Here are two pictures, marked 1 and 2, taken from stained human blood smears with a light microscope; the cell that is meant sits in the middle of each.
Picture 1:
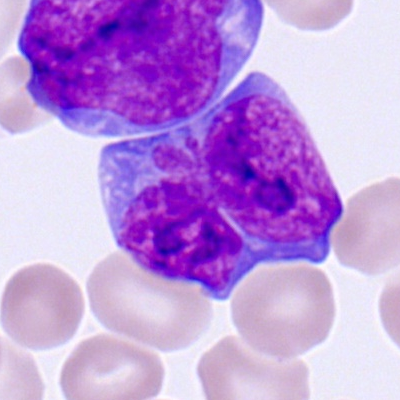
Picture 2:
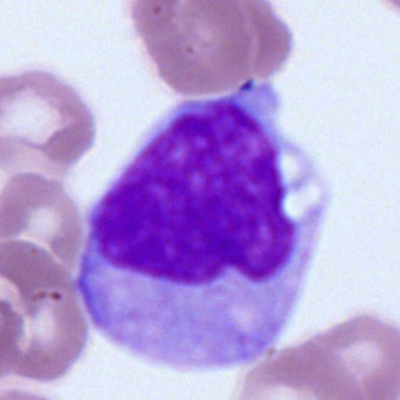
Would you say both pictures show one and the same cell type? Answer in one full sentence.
No, the types are not the same, since picture 1 shows a myeloblast and picture 2 a monocyte.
